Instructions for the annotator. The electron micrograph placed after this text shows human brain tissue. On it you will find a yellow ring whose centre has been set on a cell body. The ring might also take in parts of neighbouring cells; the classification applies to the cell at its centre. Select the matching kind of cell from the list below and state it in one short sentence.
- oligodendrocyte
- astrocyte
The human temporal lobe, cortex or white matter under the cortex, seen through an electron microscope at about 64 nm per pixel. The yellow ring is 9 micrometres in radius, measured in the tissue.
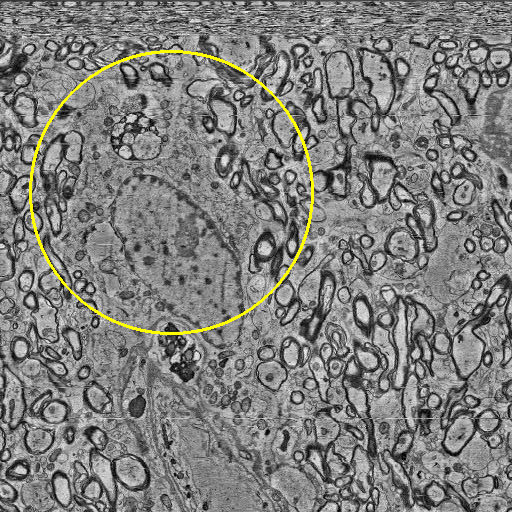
The ring is drawn on the cell body of an astrocyte.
